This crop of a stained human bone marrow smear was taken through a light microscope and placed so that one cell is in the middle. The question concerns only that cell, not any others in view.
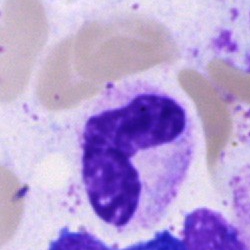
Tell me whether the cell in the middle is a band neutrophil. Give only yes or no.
yes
